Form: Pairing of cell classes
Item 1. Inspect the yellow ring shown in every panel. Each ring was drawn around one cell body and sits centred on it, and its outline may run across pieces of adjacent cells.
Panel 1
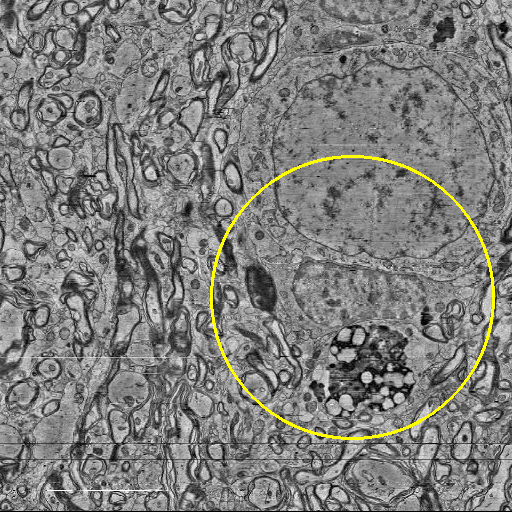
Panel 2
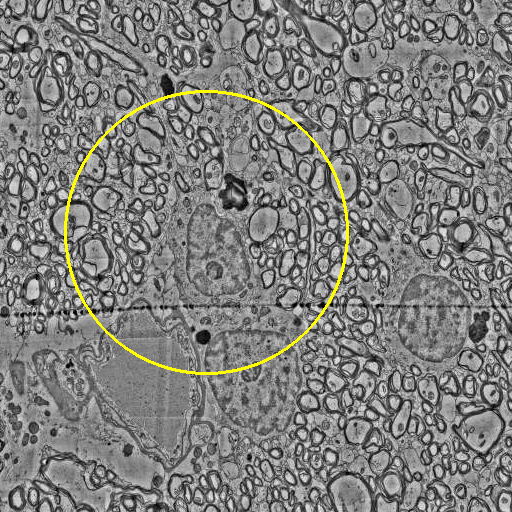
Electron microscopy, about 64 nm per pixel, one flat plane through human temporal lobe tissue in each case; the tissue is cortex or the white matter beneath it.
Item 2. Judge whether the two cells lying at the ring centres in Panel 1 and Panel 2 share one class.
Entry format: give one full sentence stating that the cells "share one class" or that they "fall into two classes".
The cells at the ring centres in Panel 1 and Panel 2 share one class.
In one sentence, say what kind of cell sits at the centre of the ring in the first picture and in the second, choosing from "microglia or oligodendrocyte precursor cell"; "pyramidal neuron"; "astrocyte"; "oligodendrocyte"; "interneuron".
The cell in the first picture is an oligodendrocyte, and so is the one in the second.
